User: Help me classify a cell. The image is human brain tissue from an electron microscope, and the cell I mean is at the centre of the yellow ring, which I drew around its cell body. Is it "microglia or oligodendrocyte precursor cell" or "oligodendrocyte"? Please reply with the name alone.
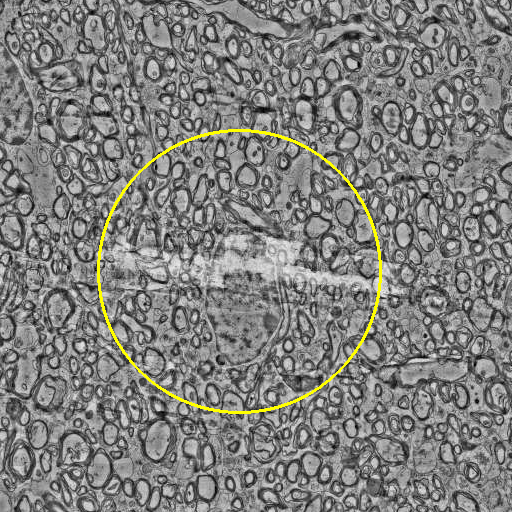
microglia or oligodendrocyte precursor cell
